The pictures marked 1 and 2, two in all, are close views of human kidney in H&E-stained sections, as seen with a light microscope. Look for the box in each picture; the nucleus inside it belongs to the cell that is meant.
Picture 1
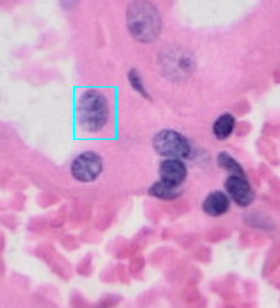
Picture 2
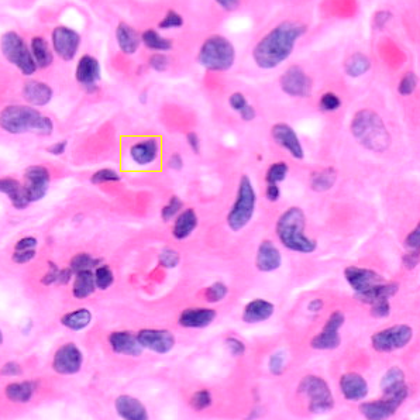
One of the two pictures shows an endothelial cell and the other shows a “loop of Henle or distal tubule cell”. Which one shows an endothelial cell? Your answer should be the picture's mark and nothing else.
2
